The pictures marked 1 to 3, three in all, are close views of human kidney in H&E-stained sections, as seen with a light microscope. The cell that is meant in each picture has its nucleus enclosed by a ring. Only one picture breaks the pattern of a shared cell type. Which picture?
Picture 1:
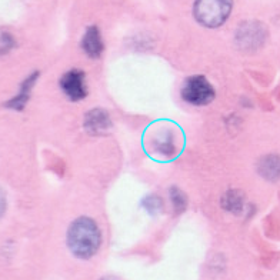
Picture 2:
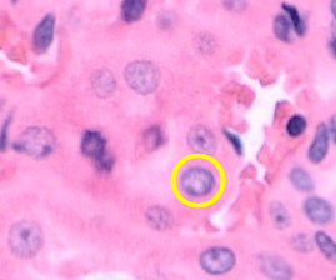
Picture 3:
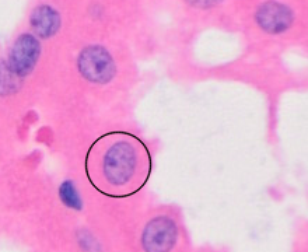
1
